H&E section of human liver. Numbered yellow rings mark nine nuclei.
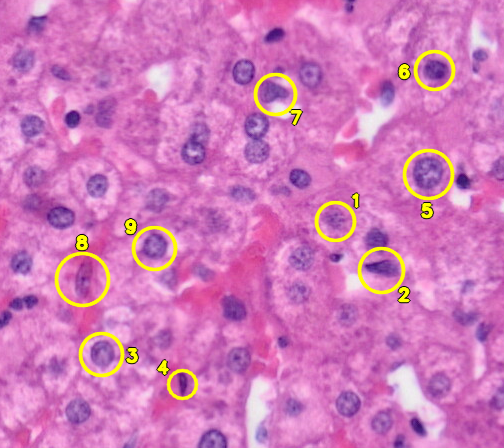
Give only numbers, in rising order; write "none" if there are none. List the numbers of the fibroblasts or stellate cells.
2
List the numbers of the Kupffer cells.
7, 8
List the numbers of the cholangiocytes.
none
